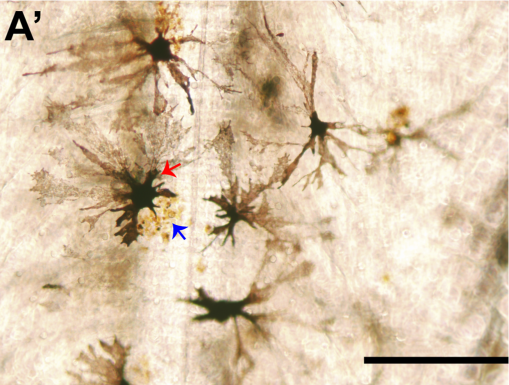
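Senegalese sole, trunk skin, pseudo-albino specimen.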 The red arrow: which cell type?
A: Melanophores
